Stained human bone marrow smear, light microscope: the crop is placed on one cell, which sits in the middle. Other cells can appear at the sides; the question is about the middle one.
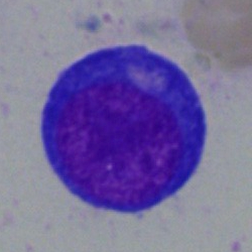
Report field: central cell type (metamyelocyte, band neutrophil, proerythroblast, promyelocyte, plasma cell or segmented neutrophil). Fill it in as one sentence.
The middle of this crop is occupied by a proerythroblast.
